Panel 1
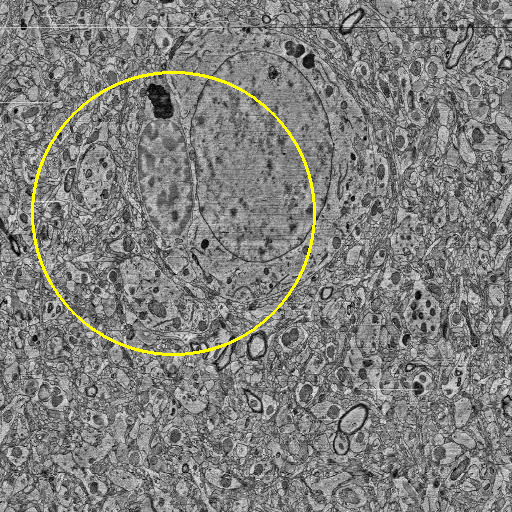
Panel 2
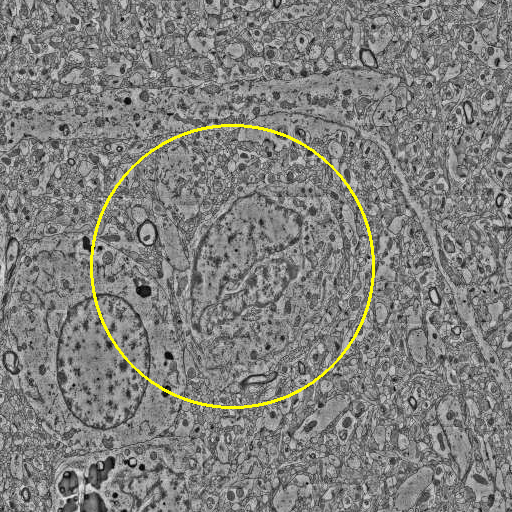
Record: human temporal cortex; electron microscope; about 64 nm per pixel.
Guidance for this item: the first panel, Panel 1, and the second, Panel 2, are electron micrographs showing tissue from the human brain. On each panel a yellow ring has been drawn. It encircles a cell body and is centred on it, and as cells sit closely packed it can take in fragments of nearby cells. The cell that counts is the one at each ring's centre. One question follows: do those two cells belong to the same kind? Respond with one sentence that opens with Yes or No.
No, the cells at the ring centres in Panel 1 and Panel 2 are of two kinds.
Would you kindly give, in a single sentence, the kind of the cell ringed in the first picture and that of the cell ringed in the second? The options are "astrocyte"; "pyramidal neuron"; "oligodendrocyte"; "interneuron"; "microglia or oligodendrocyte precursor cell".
The second cell is an interneuron, and the first cell is an oligodendrocyte.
